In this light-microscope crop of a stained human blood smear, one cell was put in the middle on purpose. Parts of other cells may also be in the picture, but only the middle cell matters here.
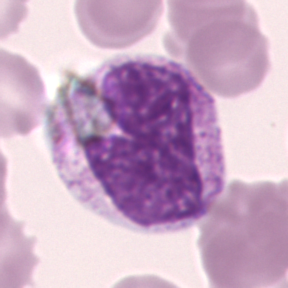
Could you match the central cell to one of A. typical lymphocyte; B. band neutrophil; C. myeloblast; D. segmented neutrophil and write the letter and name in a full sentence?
Option B is correct, naming the cell in the middle as a band neutrophil.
